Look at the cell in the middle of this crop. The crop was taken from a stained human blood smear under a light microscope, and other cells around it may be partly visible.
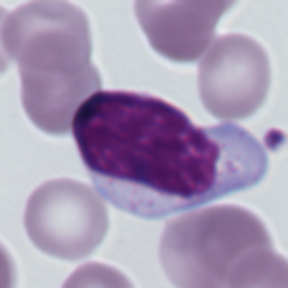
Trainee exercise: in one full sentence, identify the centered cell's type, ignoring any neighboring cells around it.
The crop shows a large granular lymphocyte in its centre.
